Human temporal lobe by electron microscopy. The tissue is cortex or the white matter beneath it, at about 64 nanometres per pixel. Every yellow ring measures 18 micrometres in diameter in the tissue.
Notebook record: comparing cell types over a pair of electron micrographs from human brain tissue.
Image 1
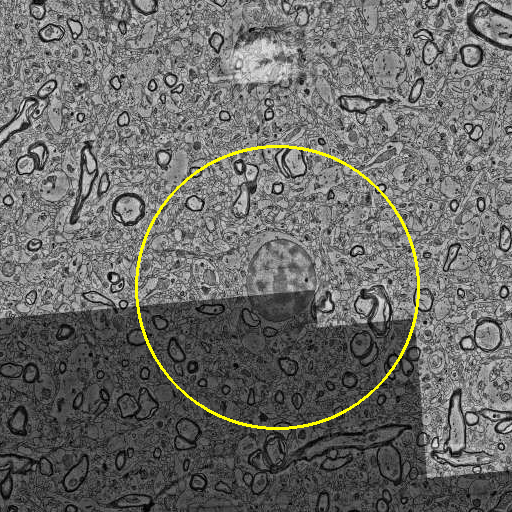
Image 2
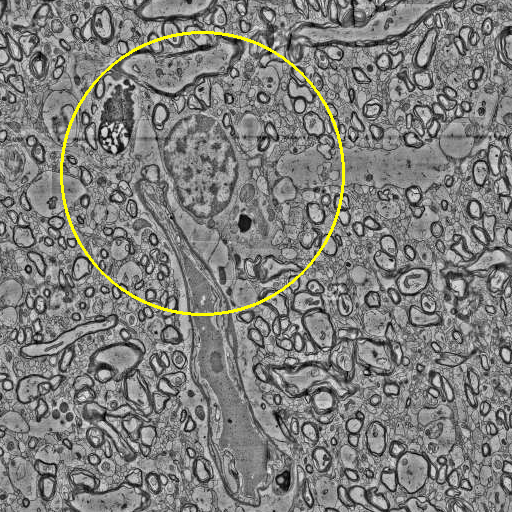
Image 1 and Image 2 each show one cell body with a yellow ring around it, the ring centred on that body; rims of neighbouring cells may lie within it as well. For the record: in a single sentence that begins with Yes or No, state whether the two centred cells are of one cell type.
Yes, one cell type is shared by the centred cells of Image 1 and Image 2.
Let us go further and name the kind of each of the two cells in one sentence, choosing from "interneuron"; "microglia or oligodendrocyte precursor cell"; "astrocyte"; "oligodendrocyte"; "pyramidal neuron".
Each of the two rings is centred on an oligodendrocyte.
